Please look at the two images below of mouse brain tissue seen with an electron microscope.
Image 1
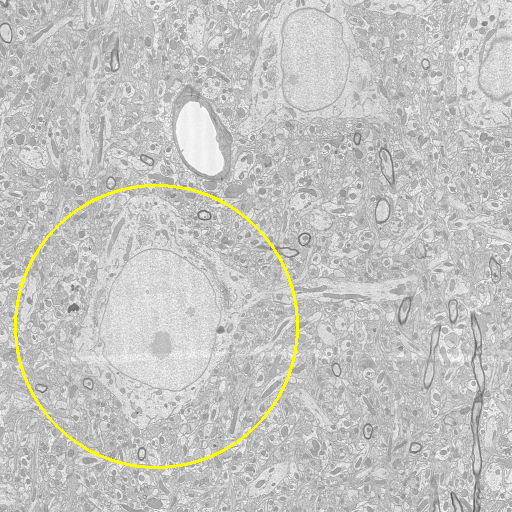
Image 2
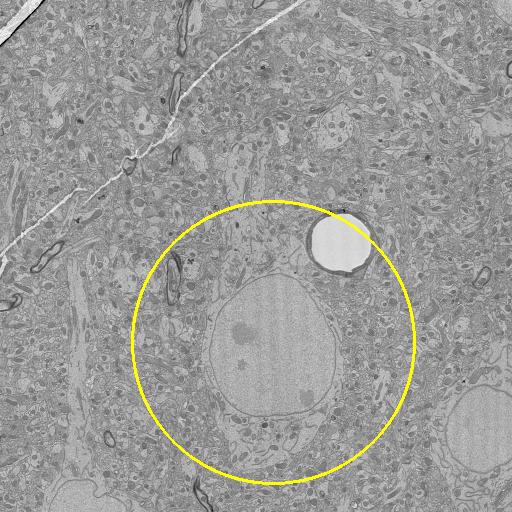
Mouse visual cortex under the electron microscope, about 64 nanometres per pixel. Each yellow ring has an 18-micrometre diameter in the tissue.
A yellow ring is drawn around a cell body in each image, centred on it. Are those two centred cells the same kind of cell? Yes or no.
yes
